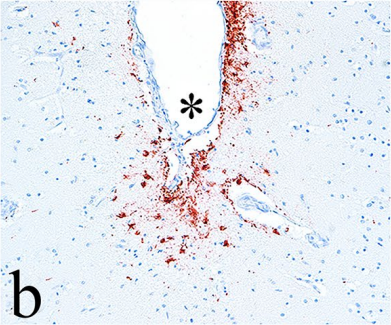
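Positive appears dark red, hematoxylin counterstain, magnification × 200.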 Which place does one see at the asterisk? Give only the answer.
The depth of the sulcus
